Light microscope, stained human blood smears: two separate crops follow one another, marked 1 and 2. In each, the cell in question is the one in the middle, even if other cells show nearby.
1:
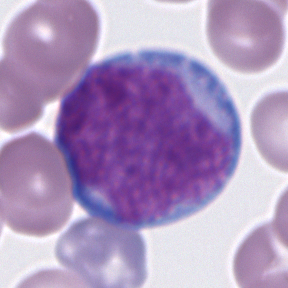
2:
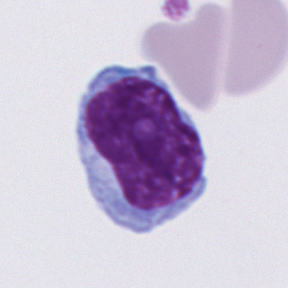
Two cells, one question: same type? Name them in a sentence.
No, a blast is depicted by crop 1, a lymphocyte by crop 2.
